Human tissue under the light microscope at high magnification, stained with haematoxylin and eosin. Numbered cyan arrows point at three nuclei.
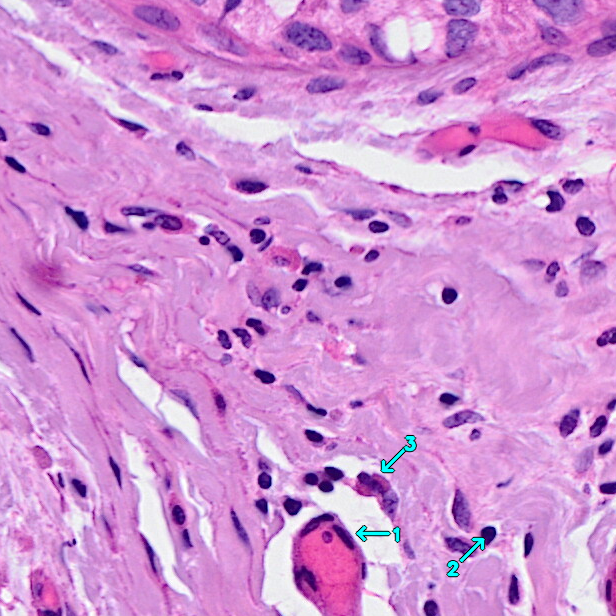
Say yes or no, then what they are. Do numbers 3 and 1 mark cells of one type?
No, cell 3 is a mast cell, and cell 1, for its part, is an endothelial cell.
